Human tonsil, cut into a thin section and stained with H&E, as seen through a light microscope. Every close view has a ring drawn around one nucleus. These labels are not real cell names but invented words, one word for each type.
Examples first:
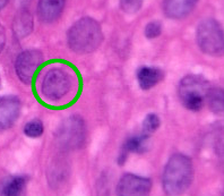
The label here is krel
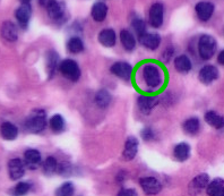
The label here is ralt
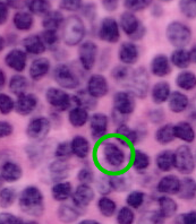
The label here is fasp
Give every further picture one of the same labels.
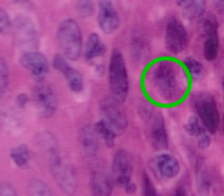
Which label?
krel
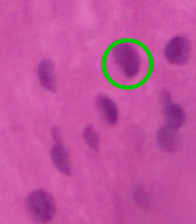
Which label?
krel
